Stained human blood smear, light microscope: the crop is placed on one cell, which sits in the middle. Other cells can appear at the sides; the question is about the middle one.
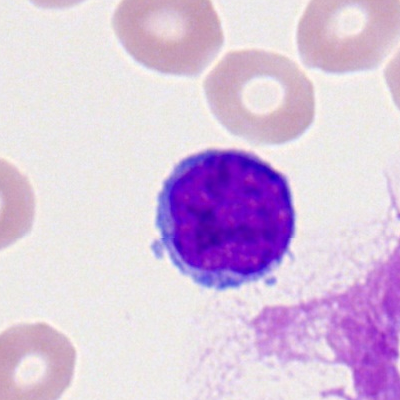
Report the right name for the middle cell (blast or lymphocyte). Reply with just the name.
lymphocyte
